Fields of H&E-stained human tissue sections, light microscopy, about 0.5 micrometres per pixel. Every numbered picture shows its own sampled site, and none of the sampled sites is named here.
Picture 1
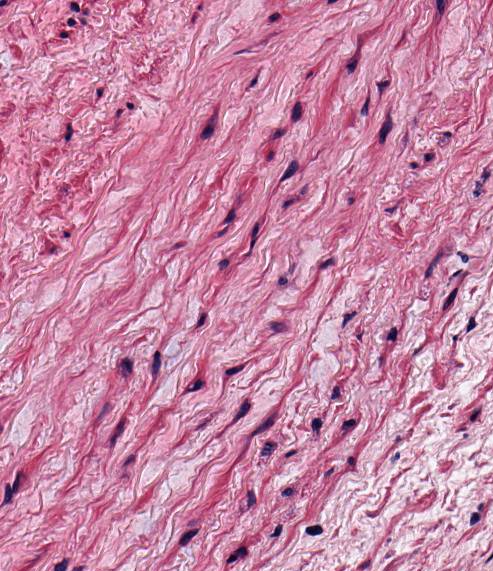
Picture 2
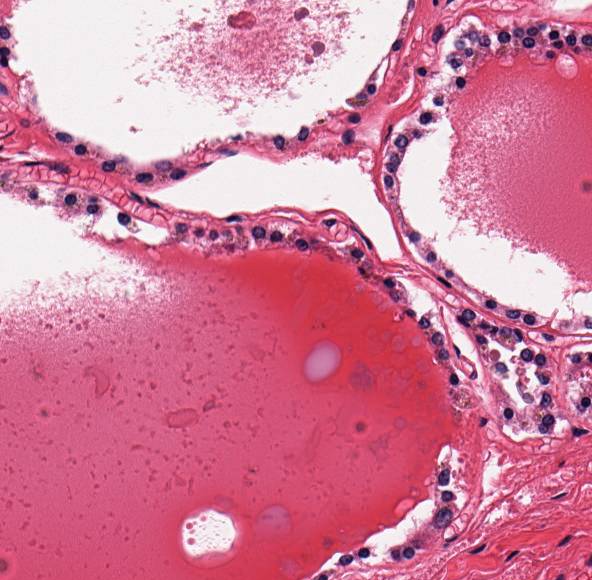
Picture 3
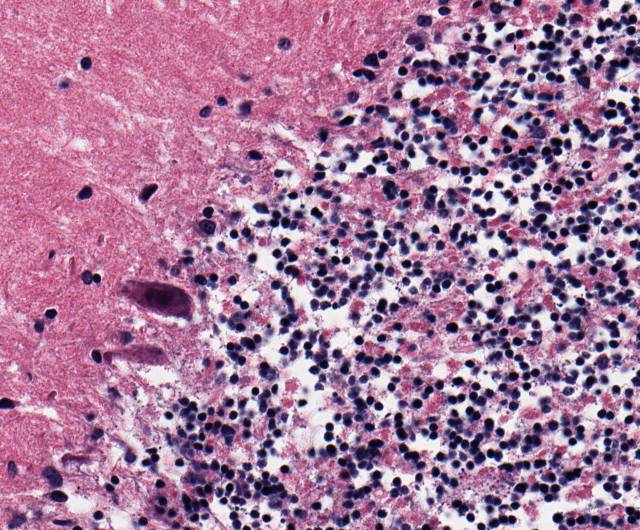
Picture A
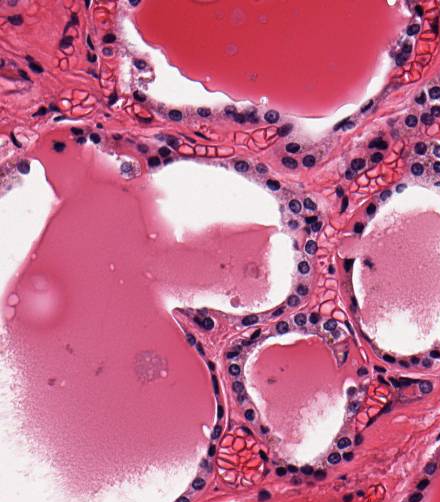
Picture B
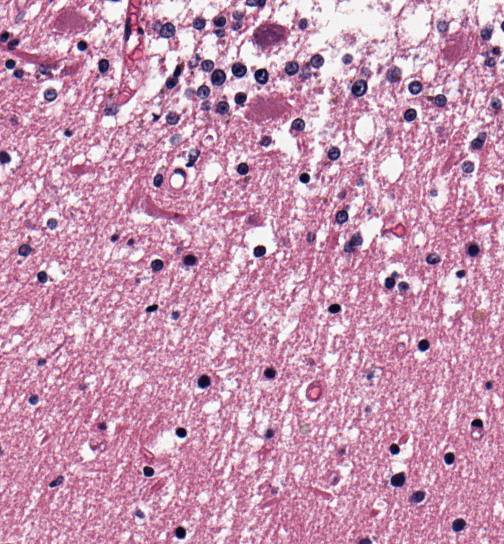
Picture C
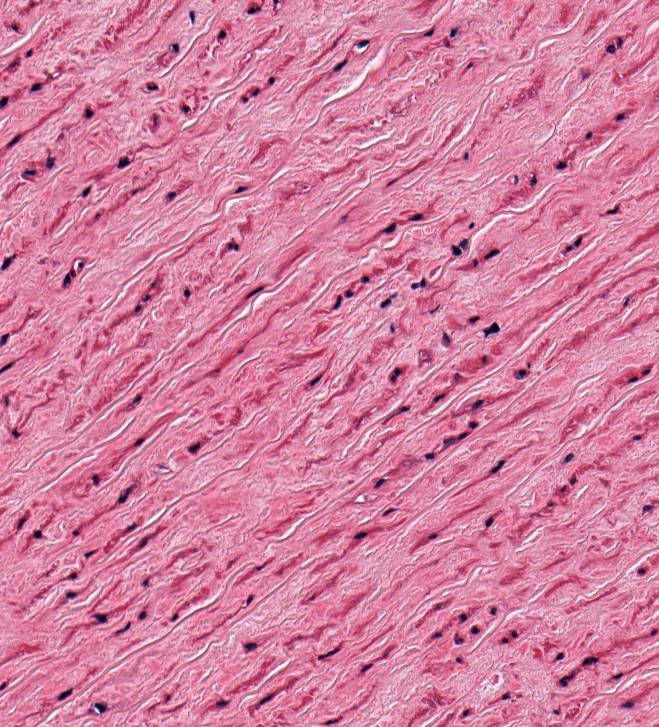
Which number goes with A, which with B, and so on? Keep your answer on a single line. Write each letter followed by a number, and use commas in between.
A 2, B 3, C 1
